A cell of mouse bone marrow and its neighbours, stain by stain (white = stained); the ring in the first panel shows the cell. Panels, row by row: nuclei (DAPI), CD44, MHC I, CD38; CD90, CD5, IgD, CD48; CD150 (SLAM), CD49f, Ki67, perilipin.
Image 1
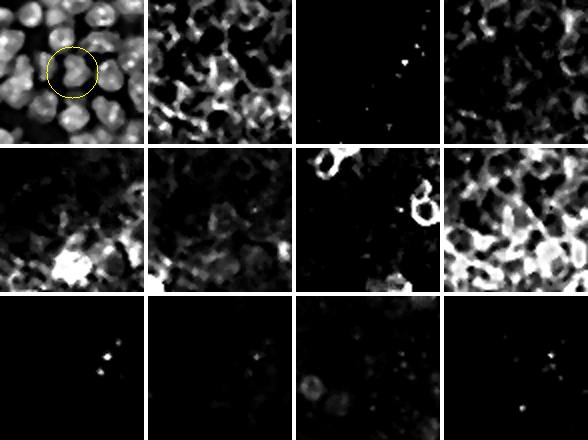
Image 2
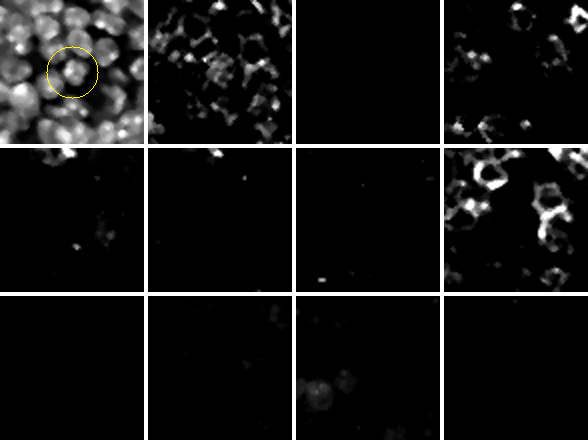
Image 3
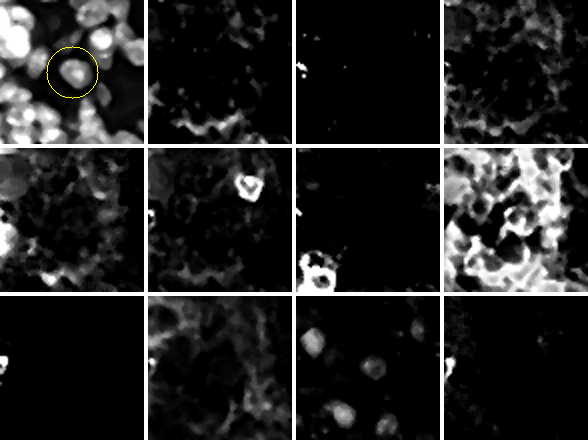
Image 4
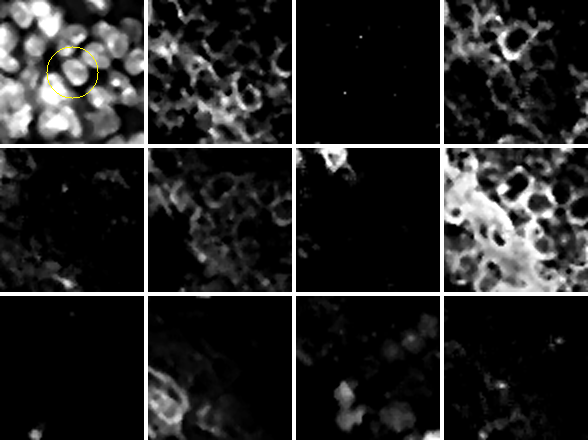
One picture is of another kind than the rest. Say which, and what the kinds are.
Picture 2 shows a neutrophil; the rest show monocytes.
